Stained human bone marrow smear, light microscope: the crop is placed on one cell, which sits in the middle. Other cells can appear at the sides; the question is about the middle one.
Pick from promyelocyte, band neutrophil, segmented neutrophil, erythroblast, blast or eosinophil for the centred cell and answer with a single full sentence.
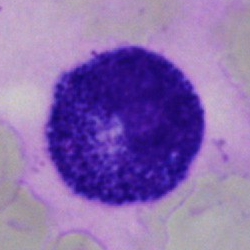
The cell marked by its central position in the crop is a promyelocyte.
